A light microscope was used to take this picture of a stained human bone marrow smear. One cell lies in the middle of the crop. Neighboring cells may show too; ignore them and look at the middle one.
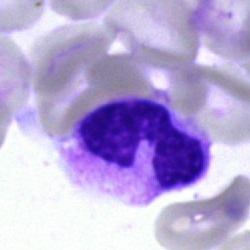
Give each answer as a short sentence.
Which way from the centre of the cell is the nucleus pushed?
The nucleus lies toward the upper right of the cell.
